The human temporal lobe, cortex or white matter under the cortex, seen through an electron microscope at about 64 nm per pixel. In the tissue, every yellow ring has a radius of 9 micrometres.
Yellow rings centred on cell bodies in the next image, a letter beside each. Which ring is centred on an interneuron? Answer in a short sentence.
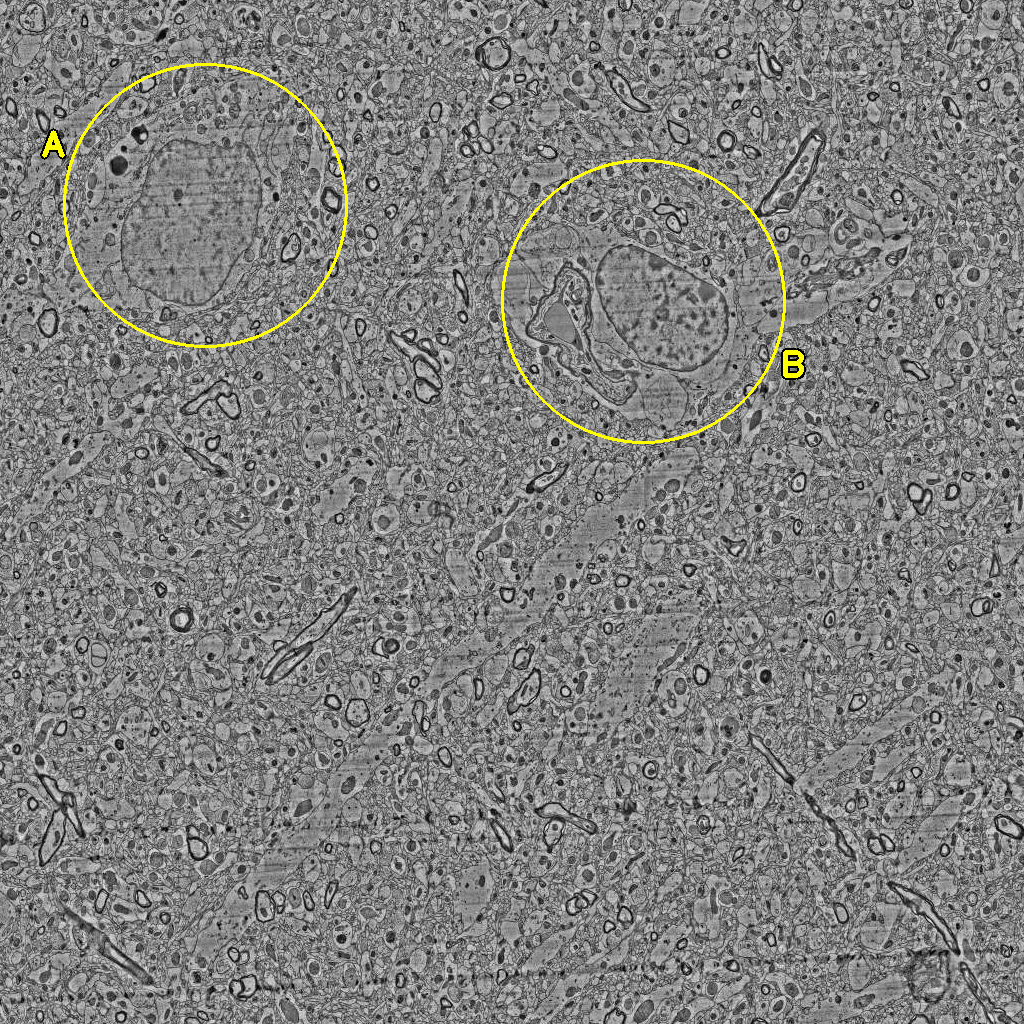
Ring A is centred on it.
